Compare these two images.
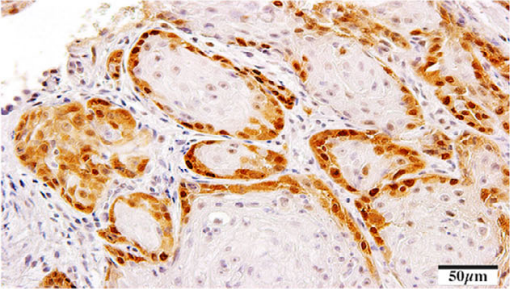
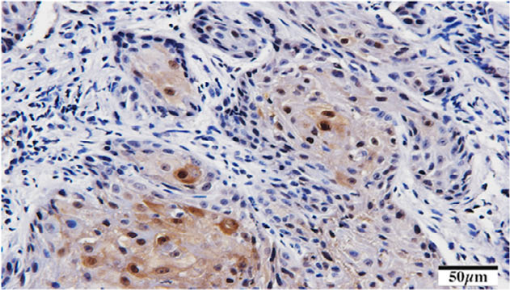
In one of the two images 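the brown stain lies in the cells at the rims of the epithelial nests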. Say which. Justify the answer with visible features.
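Second image: brown stain is in the cytoplasm of central cells of the nests. First image: brown-stained nuclei line the outer edges of the nests while the centres stay pale.
Answer: the first image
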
